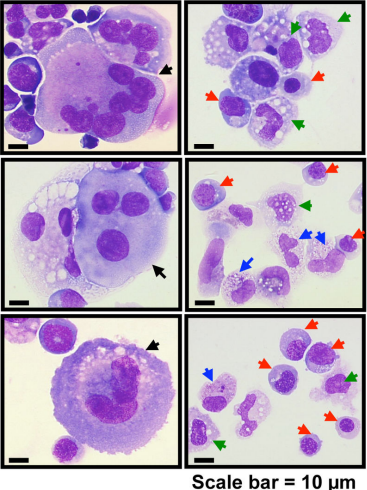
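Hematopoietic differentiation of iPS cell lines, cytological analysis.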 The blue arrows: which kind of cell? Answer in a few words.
Granulocytes.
